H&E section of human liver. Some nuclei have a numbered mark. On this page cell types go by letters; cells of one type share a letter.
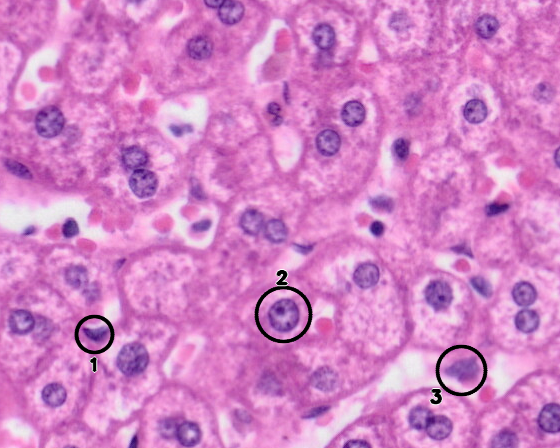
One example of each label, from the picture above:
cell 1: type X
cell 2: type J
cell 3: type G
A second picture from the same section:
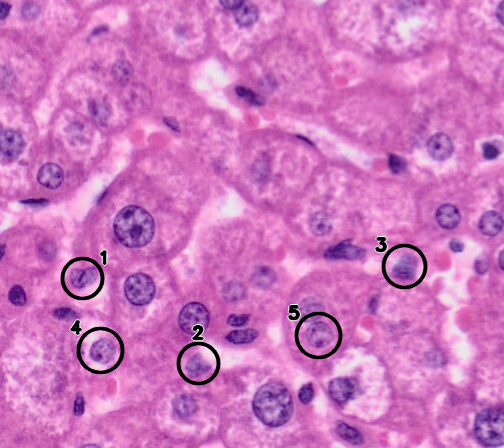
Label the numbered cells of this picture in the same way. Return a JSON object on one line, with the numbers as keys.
{"1": "type G", "2": "type X", "3": "type X", "4": "type J", "5": "type J"}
